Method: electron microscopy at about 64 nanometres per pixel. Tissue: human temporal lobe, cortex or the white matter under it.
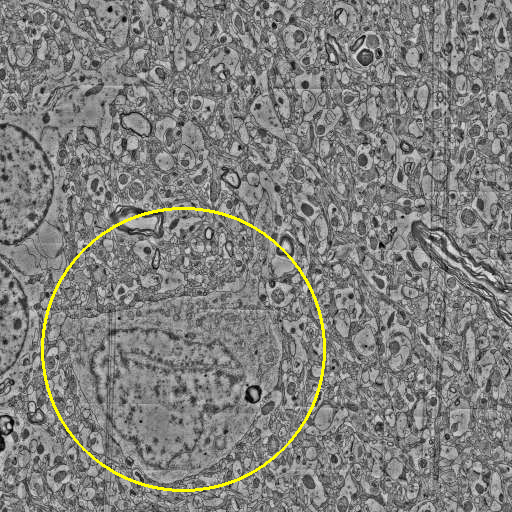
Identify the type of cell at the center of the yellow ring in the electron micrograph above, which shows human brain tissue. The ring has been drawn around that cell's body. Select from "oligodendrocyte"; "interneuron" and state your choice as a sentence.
The yellow ring is centered on the body of an interneuron.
